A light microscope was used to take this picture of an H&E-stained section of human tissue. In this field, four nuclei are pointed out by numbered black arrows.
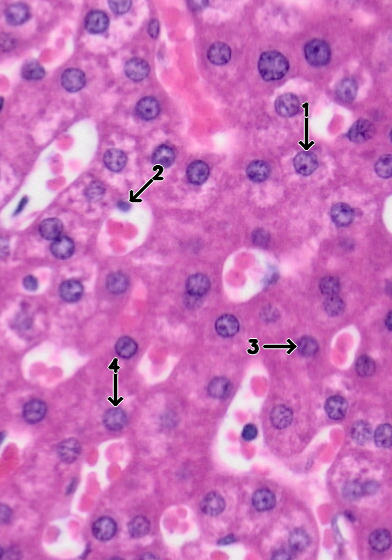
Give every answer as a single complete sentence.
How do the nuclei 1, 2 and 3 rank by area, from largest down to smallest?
The nuclei rank 1, 3, 2, from largest to smallest.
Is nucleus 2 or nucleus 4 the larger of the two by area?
It is nucleus 4, which covers about 2.5 times the area of nucleus 2.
